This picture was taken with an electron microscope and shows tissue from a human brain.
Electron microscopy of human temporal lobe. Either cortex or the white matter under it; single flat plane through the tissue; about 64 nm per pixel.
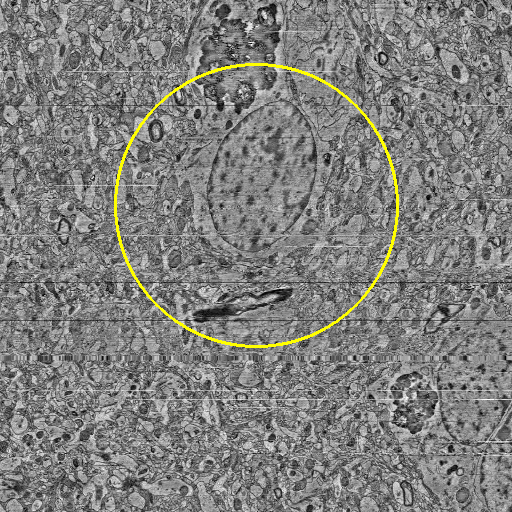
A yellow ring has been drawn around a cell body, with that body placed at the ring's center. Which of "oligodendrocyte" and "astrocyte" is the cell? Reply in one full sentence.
In this picture, an astrocyte is the cell at the center of the yellow ring.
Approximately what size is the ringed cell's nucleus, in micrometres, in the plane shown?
About 10 by 7 micrometres; in this plane the nucleus is clearly longer than it is wide.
